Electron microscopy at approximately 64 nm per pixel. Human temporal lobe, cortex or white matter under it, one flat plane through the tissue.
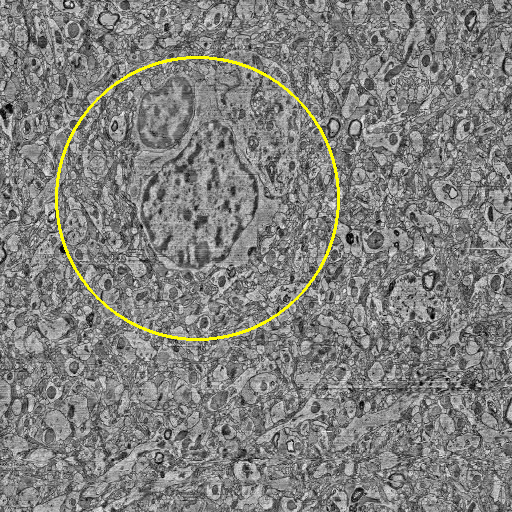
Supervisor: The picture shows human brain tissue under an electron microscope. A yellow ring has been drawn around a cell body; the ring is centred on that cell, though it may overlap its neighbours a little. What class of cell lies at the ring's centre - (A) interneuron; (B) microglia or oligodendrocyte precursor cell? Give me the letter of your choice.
B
